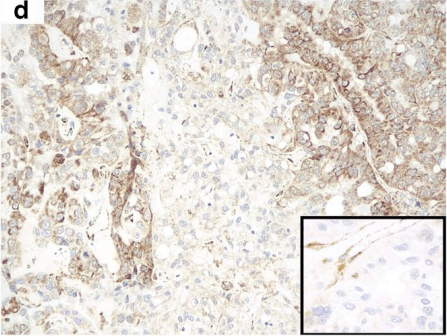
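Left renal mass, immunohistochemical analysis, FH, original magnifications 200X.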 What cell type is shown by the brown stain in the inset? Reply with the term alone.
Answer: Endothelial cells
